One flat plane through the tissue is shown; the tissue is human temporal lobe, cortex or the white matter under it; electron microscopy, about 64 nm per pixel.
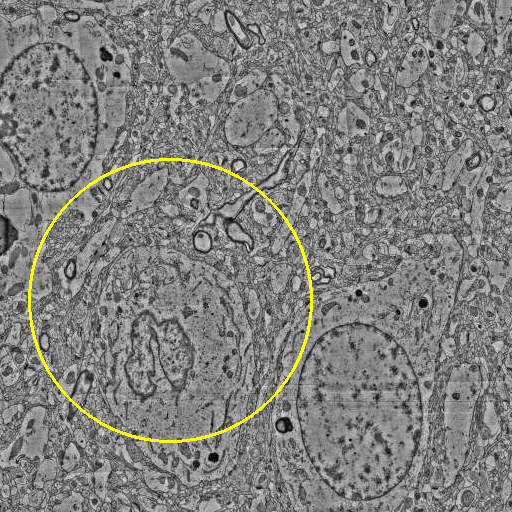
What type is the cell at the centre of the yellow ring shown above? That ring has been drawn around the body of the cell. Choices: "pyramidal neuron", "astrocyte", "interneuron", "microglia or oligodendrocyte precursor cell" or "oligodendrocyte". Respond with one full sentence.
My answer is that a pyramidal neuron lies at the centre of the yellow ring above.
